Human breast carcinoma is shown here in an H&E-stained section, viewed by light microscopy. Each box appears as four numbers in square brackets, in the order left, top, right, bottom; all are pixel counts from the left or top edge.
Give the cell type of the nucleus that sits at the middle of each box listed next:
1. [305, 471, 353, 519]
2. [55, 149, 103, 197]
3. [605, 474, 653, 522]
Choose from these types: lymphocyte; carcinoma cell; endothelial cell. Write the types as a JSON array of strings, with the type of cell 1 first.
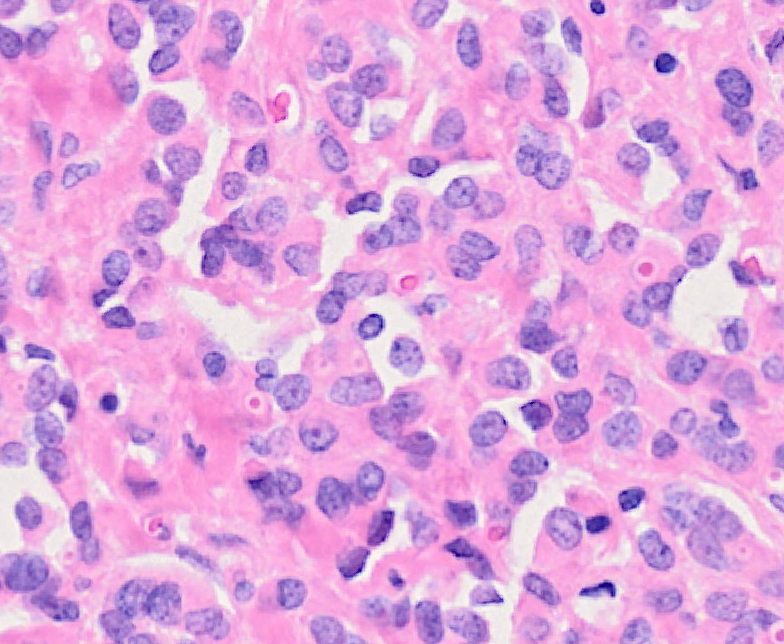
["carcinoma cell", "endothelial cell", "lymphocyte"]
